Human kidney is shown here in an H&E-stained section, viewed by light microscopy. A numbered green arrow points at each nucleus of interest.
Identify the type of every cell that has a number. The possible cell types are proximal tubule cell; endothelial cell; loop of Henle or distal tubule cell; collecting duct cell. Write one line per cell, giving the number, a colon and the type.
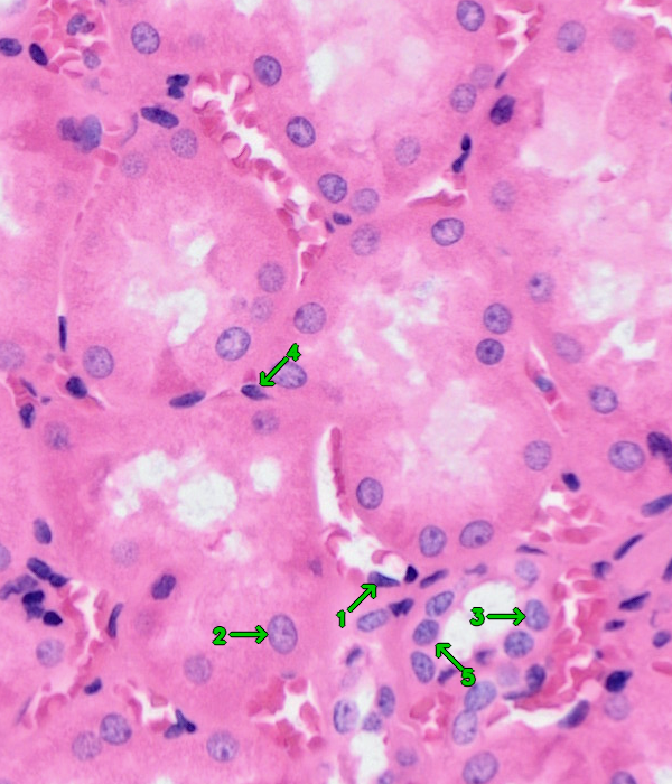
1: endothelial cell
2: proximal tubule cell
3: collecting duct cell
4: endothelial cell
5: collecting duct cell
